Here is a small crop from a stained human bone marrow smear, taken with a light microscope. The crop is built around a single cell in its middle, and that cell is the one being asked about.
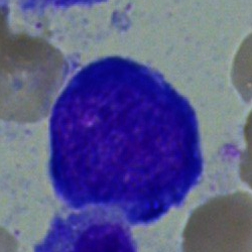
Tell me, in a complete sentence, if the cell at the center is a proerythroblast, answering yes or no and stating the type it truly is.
Yes, within this crop, the central cell is a proerythroblast.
